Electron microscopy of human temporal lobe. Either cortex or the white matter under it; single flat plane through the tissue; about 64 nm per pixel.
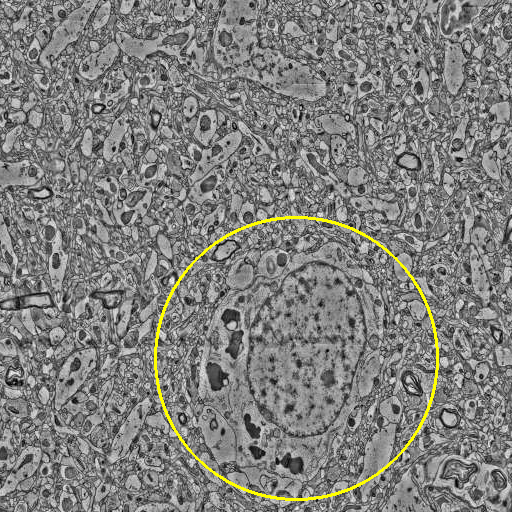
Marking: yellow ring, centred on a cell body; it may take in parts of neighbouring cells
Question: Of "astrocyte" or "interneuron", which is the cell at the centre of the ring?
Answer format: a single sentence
The ring surrounds the body of an interneuron.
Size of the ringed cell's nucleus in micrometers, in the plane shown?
The nucleus measures about 11 by 8 micrometres in this plane.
